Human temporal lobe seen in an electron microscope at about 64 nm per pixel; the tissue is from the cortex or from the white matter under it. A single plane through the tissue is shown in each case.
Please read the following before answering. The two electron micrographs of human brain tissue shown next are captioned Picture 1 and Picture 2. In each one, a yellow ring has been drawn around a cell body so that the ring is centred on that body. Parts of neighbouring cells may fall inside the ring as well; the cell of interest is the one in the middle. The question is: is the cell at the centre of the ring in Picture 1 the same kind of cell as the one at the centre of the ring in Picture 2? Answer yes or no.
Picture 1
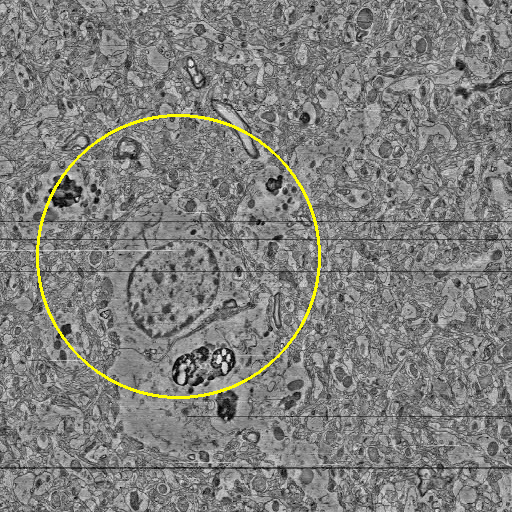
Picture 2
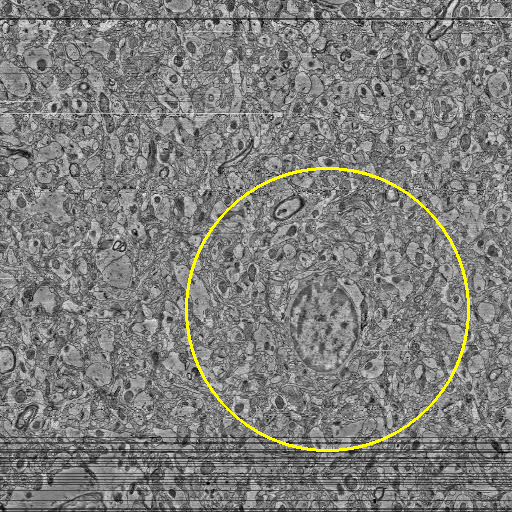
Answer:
no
